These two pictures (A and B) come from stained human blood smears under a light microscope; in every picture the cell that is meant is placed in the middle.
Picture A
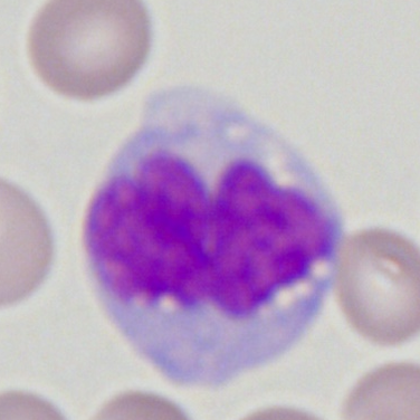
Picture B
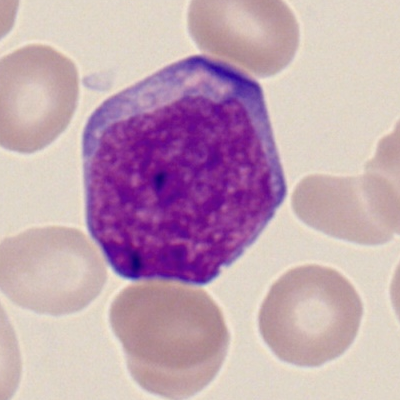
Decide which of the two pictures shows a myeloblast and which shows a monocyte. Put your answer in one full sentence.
It is picture A that shows a monocyte, and picture B that shows a myeloblast.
